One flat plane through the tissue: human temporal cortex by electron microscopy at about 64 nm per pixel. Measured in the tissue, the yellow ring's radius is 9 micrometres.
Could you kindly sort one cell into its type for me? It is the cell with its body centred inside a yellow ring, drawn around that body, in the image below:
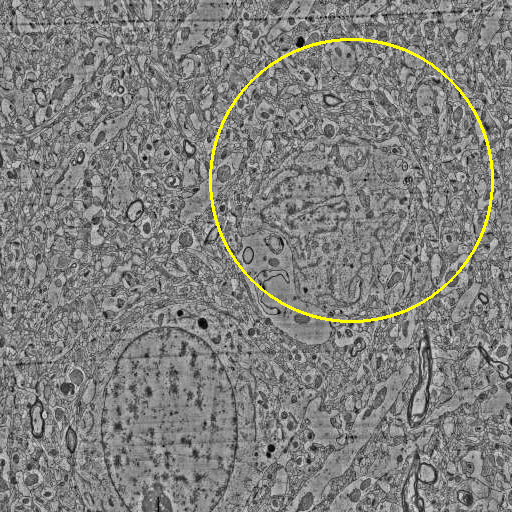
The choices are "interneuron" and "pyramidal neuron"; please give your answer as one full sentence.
The cell whose body lies centred in the yellow ring here is an interneuron.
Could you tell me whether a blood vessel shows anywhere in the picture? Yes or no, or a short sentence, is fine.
No.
